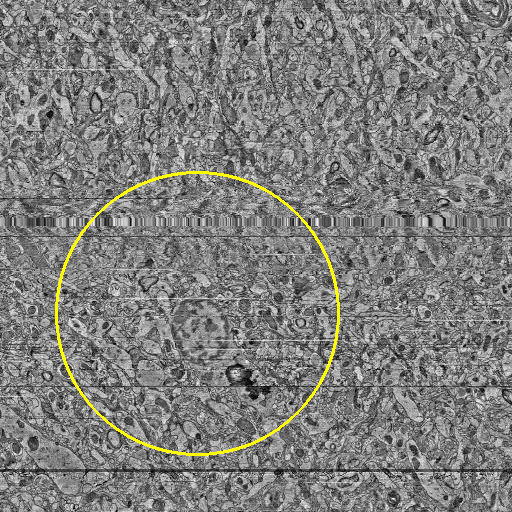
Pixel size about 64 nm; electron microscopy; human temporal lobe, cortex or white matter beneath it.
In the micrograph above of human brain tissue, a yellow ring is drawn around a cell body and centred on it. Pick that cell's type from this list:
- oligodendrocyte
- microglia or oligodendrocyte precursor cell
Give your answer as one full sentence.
Going by the list, an oligodendrocyte is the cell on which the yellow ring is centred.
